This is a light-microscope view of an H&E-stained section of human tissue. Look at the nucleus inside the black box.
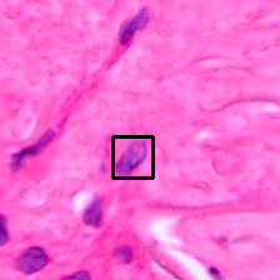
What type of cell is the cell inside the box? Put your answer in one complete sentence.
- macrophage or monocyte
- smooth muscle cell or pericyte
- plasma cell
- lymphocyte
It is as a smooth muscle cell or pericyte that the cell inside the box is classified.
